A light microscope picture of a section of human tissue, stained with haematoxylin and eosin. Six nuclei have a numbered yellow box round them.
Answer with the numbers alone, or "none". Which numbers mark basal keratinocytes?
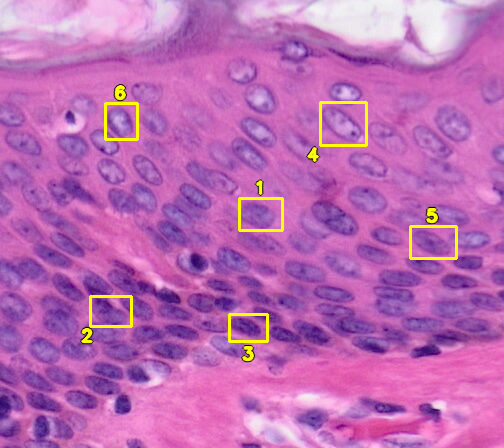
2, 3, 5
